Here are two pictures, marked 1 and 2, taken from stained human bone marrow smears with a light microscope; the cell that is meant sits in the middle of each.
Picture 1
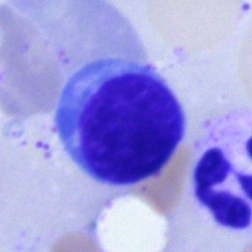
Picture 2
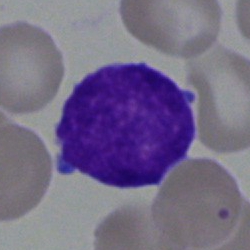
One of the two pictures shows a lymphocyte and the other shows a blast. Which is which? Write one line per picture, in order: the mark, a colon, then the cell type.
1: lymphocyte
2: blast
